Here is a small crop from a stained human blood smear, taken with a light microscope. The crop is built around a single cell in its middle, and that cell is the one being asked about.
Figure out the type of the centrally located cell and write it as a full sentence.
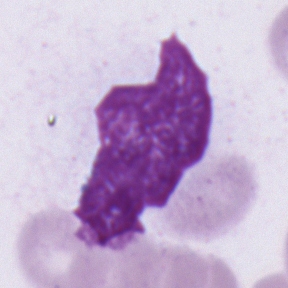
The cell at the centre of the field is a smudge cell.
